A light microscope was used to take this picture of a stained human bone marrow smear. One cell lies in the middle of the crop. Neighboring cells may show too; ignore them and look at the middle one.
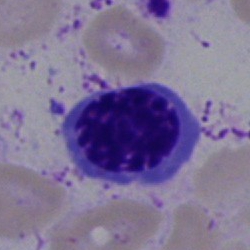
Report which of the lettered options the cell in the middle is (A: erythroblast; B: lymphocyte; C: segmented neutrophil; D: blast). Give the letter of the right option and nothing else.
A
